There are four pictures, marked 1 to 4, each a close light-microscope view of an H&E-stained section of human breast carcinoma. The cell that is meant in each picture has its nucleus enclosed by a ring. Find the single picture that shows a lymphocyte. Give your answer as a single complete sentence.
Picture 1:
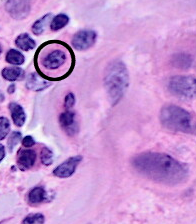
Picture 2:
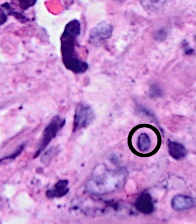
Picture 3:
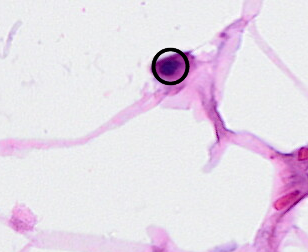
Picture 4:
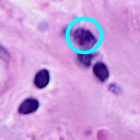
The cell in picture 4 is the lymphocyte.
